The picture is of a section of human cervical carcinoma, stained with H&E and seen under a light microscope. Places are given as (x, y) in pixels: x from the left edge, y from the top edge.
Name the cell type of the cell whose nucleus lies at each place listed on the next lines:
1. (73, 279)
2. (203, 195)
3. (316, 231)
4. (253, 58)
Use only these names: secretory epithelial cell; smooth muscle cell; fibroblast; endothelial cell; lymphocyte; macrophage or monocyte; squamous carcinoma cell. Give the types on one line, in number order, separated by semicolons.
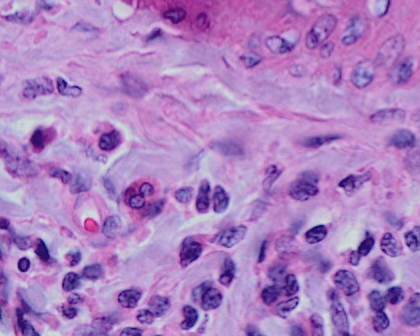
lymphocyte; lymphocyte; lymphocyte; smooth muscle cell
